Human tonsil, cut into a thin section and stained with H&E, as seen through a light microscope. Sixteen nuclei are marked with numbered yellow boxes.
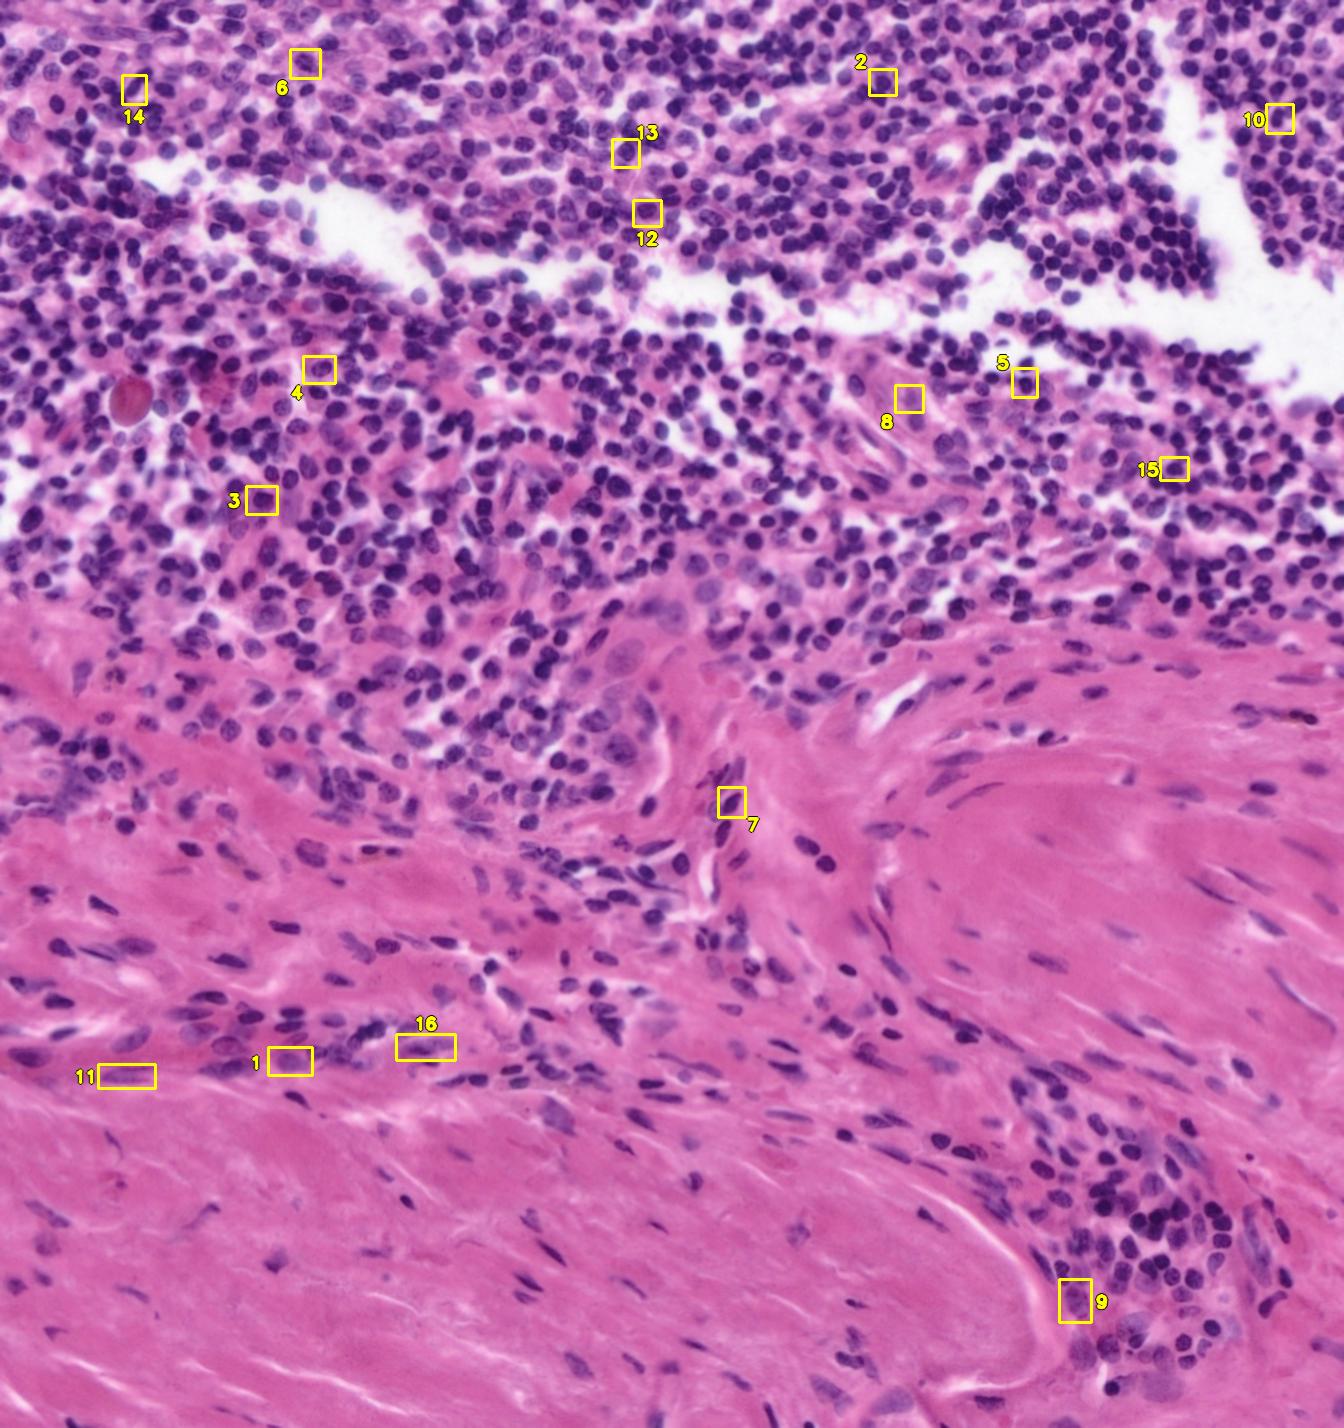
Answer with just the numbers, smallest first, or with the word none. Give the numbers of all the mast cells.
7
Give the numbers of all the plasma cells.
4, 6, 12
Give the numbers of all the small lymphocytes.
2, 5, 10, 13, 14, 15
